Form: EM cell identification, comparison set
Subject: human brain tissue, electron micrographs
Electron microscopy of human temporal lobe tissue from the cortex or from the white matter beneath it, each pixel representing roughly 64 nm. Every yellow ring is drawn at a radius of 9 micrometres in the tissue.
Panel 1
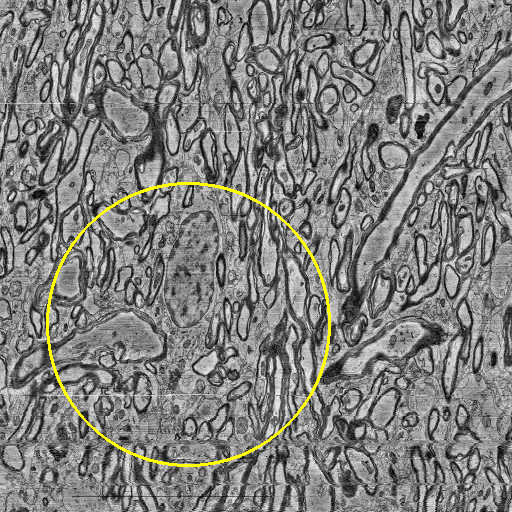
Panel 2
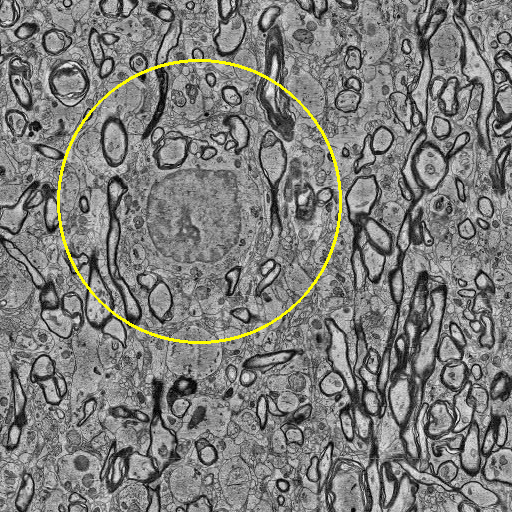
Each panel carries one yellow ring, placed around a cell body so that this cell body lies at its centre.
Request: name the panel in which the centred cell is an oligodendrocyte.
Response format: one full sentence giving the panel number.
Panel 2 has it at the centre of its ring.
